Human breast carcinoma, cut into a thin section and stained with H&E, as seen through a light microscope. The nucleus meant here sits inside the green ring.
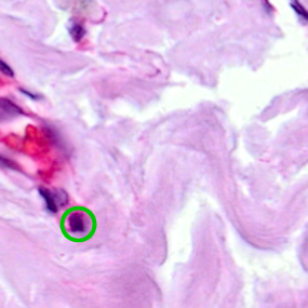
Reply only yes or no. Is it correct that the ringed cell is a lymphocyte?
no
